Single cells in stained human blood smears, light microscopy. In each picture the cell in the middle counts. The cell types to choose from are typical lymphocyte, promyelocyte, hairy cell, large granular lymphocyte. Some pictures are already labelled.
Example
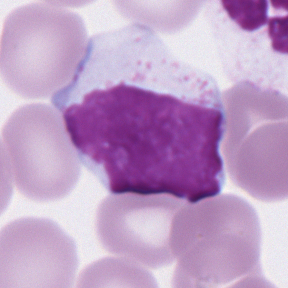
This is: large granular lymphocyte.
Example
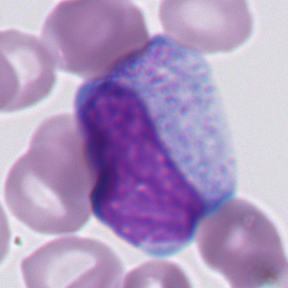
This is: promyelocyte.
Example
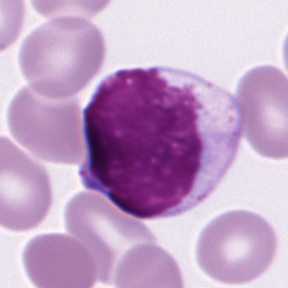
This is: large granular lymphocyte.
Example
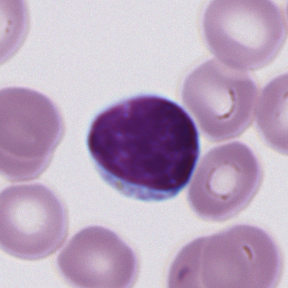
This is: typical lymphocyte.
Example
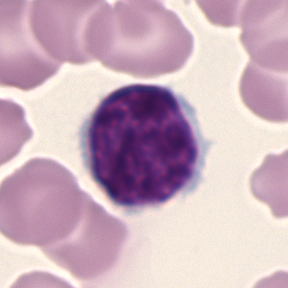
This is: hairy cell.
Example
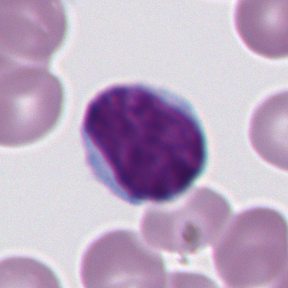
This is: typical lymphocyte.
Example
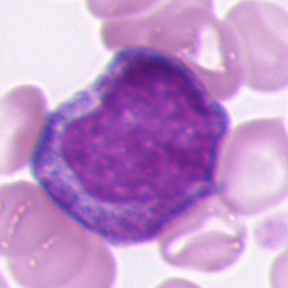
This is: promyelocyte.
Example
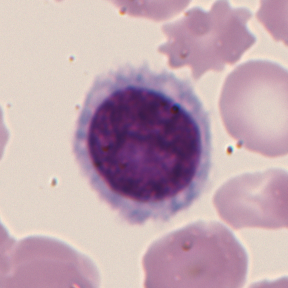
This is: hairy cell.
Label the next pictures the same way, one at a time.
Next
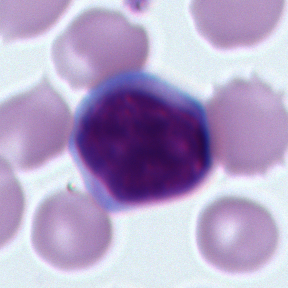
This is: typical lymphocyte.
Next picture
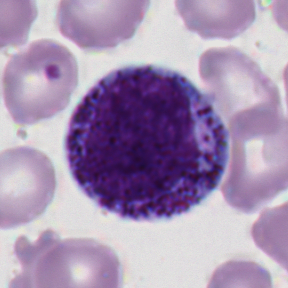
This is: promyelocyte.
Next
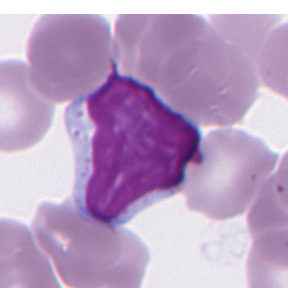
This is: typical lymphocyte.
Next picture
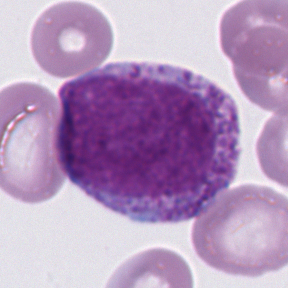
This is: promyelocyte.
